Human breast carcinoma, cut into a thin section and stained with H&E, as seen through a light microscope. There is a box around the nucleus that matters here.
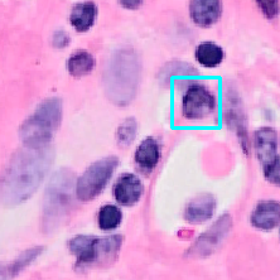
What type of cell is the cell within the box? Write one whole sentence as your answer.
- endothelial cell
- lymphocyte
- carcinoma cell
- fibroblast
Cell type answer for this item: the cell within the box is a lymphocyte.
